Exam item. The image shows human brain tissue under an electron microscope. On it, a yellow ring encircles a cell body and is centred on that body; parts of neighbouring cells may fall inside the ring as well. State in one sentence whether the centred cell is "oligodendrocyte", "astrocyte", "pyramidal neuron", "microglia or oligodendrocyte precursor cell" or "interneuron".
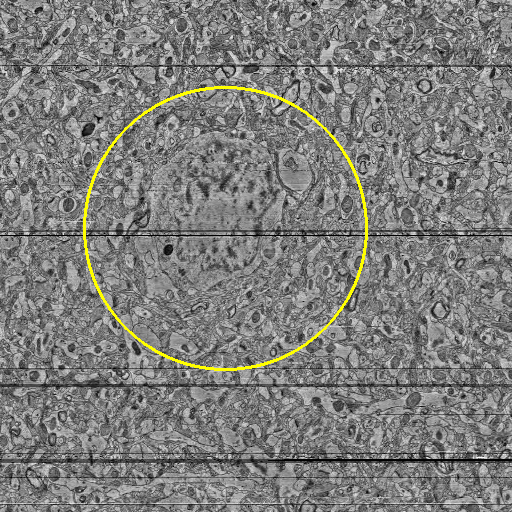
The cell body centred in the ring is an interneuron.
